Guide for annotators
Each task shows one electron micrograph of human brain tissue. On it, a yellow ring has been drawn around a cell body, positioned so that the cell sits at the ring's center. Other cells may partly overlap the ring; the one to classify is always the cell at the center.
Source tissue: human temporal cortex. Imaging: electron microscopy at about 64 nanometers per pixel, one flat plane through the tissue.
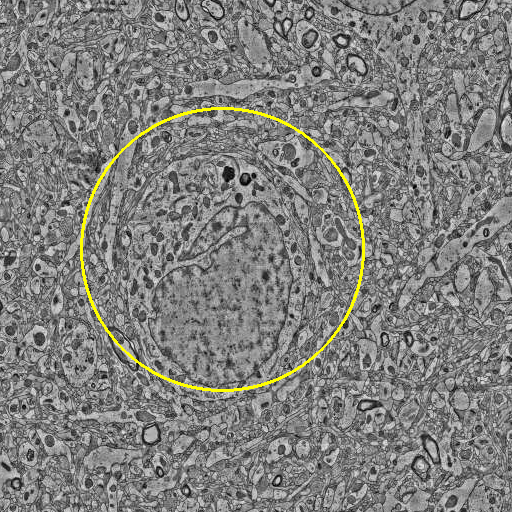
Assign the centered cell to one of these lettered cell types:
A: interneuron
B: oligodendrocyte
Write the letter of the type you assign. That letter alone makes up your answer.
A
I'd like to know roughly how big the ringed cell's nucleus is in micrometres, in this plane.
In this plane the nucleus measures roughly 12 by 8 micrometres.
